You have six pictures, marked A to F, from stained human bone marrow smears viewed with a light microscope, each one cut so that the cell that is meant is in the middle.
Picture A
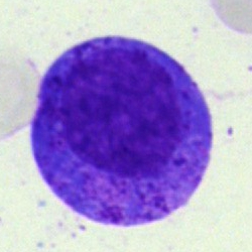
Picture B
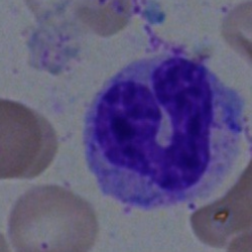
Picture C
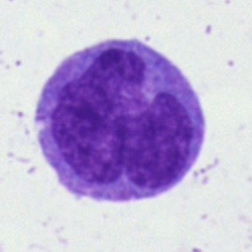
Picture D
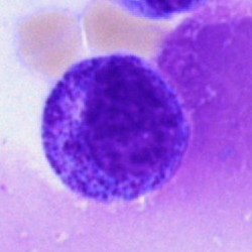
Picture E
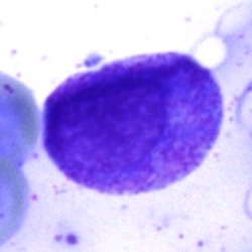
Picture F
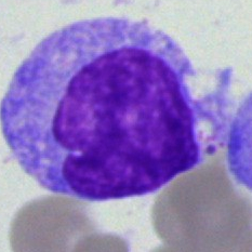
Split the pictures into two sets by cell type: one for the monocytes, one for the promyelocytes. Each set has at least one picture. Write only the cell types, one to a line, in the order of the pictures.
promyelocyte
monocyte
monocyte
promyelocyte
promyelocyte
monocyte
